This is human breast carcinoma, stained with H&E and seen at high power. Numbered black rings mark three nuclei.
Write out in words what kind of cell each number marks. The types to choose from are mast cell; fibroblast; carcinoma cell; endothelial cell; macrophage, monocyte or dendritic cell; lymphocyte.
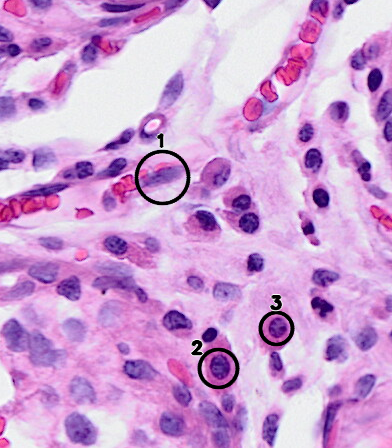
Cell 1 is an endothelial cell. Cells 2 and 3 are mast cells.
